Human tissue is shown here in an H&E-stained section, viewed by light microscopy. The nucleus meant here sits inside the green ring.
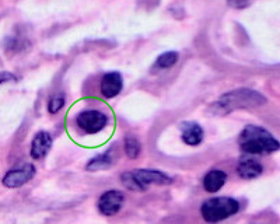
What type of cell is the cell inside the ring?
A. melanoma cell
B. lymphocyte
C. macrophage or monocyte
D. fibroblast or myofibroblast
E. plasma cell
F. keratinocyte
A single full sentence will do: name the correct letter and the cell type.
Option E is the right choice, for the cell inside the ring is a plasma cell.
